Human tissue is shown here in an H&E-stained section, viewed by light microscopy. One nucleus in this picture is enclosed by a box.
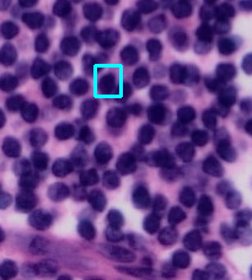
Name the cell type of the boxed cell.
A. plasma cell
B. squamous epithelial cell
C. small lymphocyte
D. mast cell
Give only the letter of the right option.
C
